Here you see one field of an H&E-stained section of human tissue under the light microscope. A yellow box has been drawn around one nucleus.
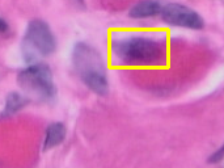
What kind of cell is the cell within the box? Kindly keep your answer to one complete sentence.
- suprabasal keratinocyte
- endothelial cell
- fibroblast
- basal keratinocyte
In the tissue at hand, the cell within the box is an endothelial cell.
